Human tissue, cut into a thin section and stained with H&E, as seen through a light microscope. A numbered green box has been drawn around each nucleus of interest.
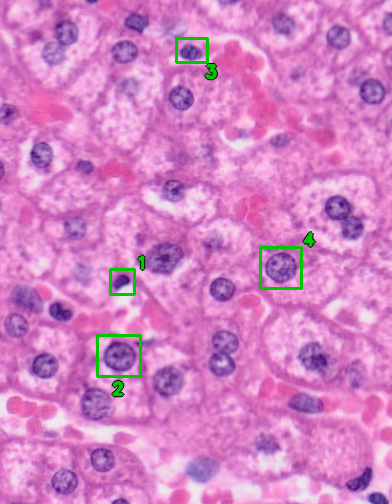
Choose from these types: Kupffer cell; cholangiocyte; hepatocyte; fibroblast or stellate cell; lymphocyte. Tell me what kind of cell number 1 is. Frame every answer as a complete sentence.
In the marked set, the cell given number 1 is a fibroblast or stellate cell.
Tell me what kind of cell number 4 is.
Of the numbered cells, the one labelled 4 is a hepatocyte.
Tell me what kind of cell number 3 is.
Belonging to a lymphocyte is the nucleus that carries the number 3.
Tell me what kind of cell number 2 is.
The nucleus marked 2 is the nucleus of a hepatocyte.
